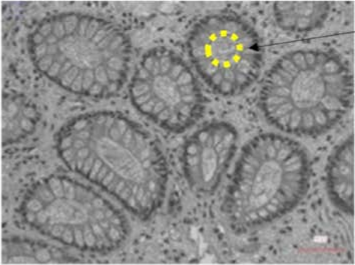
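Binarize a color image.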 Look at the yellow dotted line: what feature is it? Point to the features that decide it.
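The yellow dotted circle sits in the centre of a round gland profile. The circle is surrounded by a ring of epithelial cells with dark nuclei at the gland's outer edge.
Answer: lumen of the gland duct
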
